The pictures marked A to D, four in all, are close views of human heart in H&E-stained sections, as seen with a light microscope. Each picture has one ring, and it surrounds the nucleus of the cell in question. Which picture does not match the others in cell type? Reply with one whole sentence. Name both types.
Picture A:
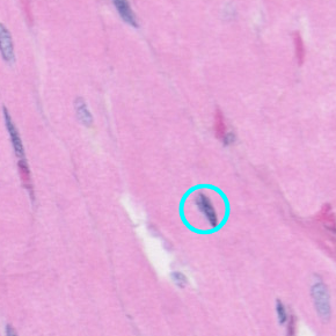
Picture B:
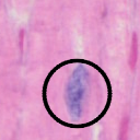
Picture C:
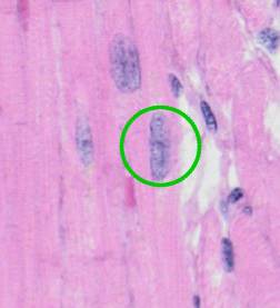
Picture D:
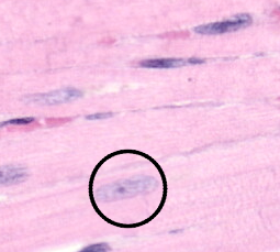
Picture A differs, because its cell is an endothelial cell and the rest are cardiomyocytes.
